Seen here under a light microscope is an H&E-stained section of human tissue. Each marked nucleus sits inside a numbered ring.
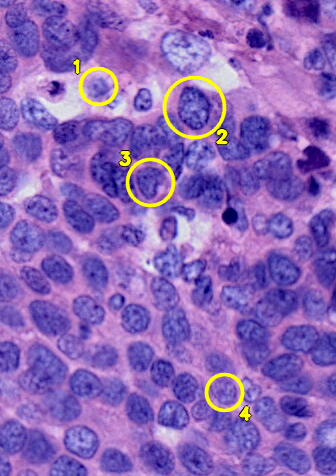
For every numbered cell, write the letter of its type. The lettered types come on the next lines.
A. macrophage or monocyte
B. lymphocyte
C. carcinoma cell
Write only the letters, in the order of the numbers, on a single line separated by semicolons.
A; C; C; C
